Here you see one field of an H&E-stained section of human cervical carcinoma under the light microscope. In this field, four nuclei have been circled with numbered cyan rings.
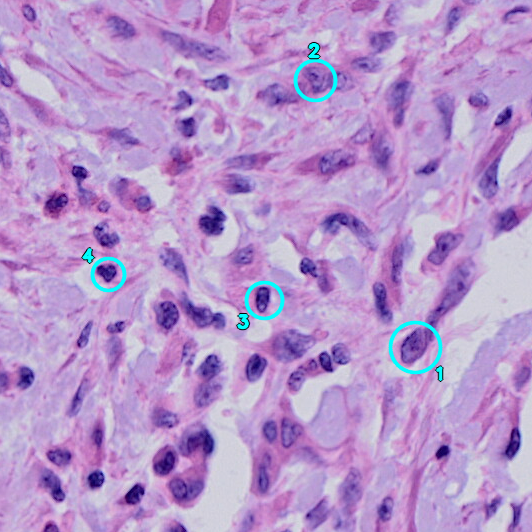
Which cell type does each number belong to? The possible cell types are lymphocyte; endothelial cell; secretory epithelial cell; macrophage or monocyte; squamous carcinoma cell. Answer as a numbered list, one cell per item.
1. macrophage or monocyte
2. endothelial cell
3. lymphocyte
4. lymphocyte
